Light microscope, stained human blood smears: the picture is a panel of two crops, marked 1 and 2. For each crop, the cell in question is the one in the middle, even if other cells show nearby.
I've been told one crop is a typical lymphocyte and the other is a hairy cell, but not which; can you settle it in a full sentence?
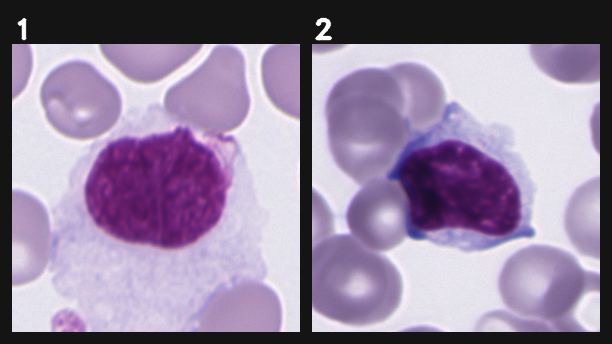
In crop 2 the central cell is a typical lymphocyte, and in crop 1 it is a hairy cell.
